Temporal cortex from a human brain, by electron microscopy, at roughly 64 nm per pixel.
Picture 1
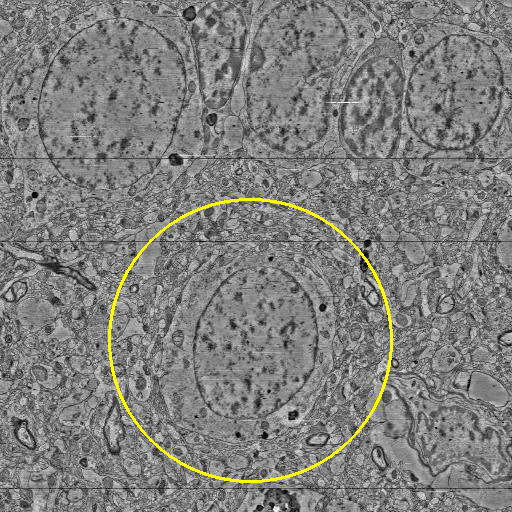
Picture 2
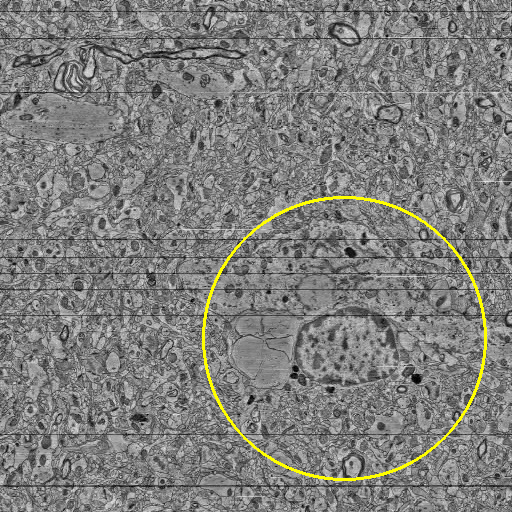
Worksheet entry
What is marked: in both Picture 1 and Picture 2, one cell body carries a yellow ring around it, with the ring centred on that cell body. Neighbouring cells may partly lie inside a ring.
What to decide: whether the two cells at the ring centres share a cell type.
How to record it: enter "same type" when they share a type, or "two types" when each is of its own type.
two types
